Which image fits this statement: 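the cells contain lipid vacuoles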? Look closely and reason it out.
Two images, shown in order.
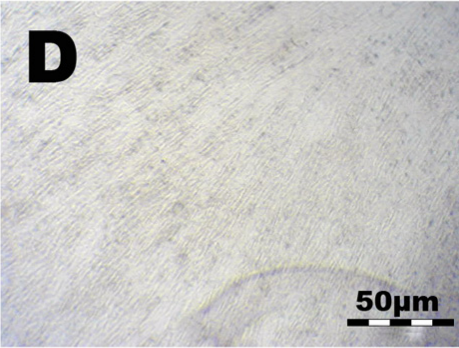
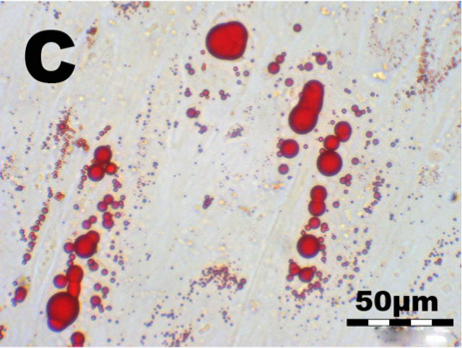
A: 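First image: a pale layer of elongated cells with no red droplets. Second image: many red-stained round droplets of varying size in the cells. The answer: the second image.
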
